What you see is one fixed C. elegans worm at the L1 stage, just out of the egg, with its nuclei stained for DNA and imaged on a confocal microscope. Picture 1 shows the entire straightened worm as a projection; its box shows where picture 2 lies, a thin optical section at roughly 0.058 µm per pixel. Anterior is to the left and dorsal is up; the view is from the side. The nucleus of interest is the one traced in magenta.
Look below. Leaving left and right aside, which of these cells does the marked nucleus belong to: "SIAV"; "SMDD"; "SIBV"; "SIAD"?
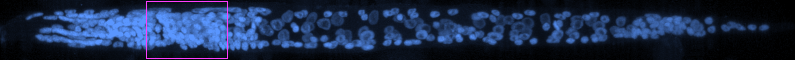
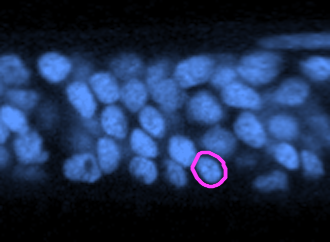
SIAV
